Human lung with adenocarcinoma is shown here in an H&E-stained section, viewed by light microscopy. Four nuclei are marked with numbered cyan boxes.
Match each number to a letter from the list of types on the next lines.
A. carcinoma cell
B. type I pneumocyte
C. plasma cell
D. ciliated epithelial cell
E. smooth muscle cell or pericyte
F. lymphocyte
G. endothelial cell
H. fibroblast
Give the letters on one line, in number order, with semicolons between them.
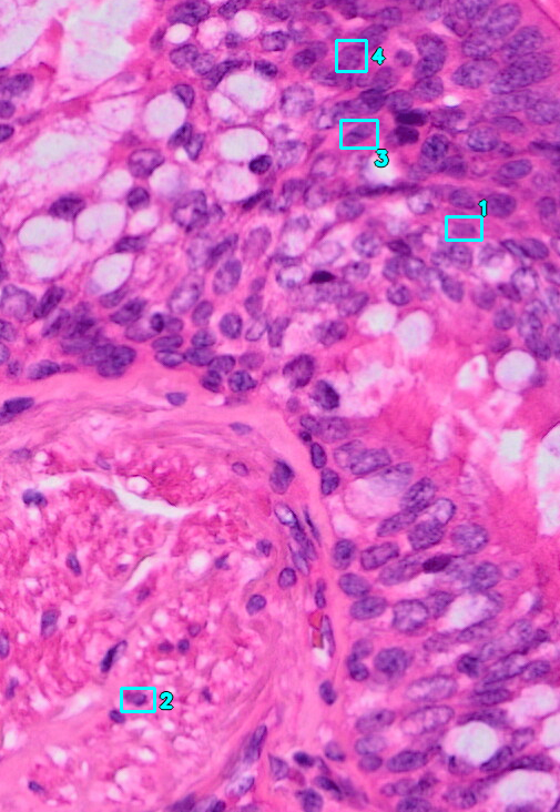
D; E; D; D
